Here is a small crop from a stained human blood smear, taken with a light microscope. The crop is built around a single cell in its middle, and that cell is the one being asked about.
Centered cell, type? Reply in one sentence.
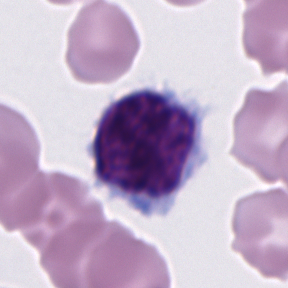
Centrally within this crop lies a hairy cell.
